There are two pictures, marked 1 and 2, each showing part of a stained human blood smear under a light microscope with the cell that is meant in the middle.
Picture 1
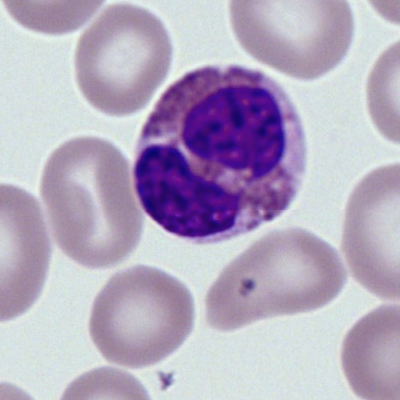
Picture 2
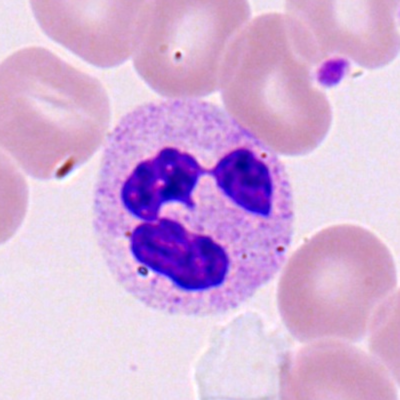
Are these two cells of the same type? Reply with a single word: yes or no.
no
